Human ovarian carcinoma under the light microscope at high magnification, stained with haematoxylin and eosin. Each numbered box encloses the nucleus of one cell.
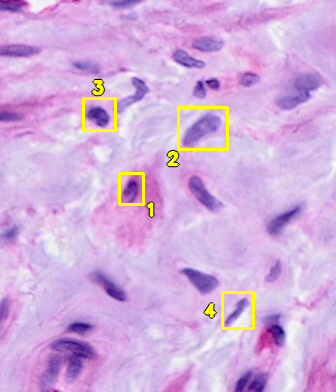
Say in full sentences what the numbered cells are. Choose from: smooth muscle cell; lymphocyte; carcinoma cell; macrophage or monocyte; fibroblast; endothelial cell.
Cell 1 is a smooth muscle cell. Cells 2 and 4 are fibroblasts. Cell 3 is a lymphocyte.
